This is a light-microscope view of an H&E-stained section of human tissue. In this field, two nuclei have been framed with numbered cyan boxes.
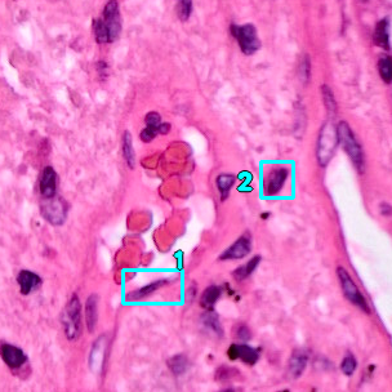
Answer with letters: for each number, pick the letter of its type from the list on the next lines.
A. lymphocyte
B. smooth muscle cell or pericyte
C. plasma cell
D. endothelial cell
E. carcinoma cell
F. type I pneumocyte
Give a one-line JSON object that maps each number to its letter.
{"1": "D", "2": "C"}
